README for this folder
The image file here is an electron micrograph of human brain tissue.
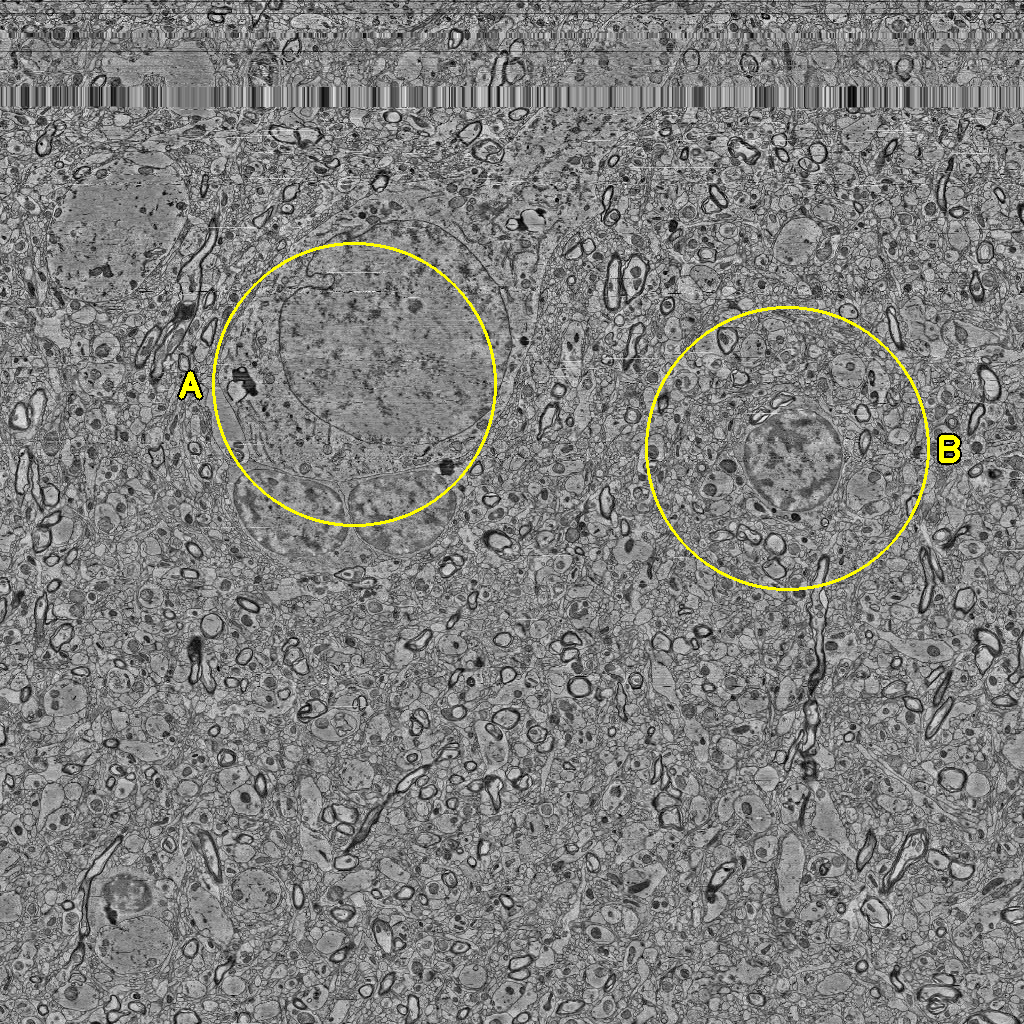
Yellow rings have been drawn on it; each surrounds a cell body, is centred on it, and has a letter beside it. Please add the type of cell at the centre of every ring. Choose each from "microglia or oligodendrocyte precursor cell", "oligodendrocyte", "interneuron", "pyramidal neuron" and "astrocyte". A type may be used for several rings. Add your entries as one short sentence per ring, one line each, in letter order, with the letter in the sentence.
Ring A marks the cell body of a pyramidal neuron.
Ring B marks the cell body of an oligodendrocyte.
